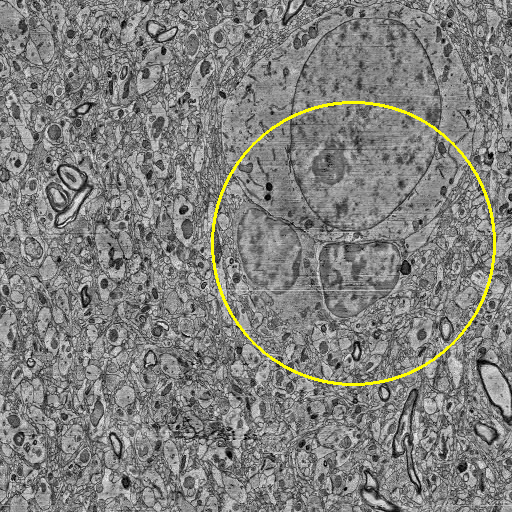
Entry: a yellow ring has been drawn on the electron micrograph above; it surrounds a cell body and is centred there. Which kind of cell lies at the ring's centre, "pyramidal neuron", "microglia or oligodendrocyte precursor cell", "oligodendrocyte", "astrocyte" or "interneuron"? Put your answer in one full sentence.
The cell sitting at the ring's centre is a microglial cell or oligodendrocyte precursor cell in the micrograph above.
